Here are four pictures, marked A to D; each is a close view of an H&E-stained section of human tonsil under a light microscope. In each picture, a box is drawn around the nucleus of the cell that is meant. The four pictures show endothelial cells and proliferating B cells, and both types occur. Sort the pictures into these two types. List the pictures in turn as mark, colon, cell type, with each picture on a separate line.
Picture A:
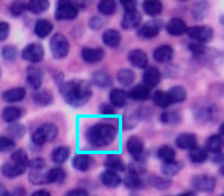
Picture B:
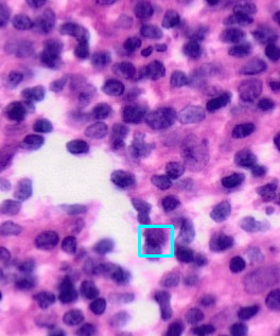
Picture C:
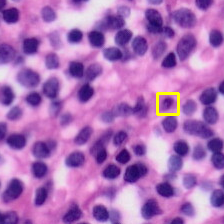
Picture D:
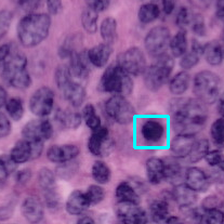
A: proliferating B cell
B: proliferating B cell
C: endothelial cell
D: proliferating B cell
